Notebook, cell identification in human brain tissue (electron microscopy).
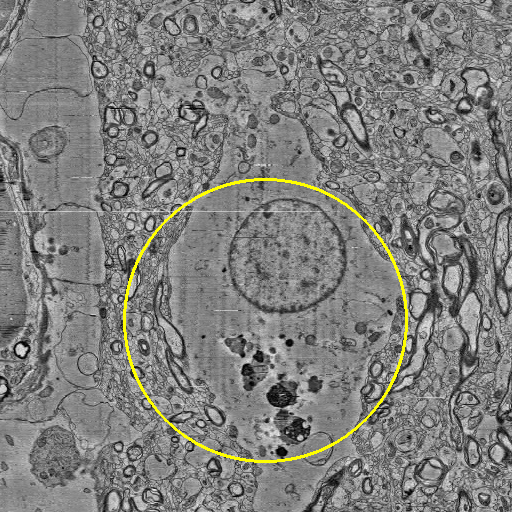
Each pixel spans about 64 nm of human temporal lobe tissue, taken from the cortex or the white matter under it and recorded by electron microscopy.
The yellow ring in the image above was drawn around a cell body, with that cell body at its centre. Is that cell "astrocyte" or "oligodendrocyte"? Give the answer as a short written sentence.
The cell in the ring is an astrocyte.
